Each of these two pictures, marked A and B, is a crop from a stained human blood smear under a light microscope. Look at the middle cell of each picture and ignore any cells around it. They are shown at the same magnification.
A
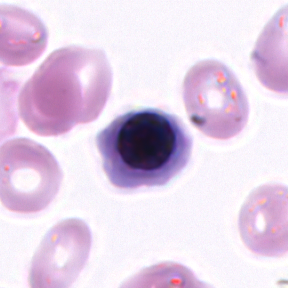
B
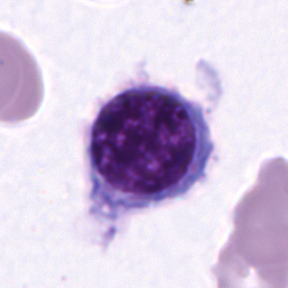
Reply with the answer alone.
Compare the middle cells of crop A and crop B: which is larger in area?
B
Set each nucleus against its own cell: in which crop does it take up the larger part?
B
